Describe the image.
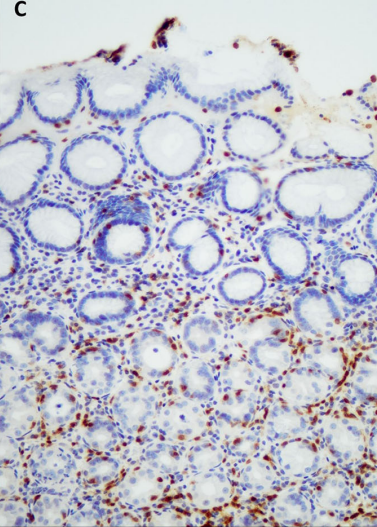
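This is gastric body mucosa with a surface of mucus-secreting foveolar epithelium and, below it, closely packed oxyntic glands, among which brown-stained lymphocytes are scattered. The upper part shows round pits and glands lined by pale columnar mucous cells with blue basal nuclei. The deeper half is filled with small round gland profiles cut across, separated by thin strands of lamina propria. Small cells with dark brown round nuclei and scant cytoplasm lie mostly around and within these deep glands, forming a denser band toward the bottom. A few brown cells also sit at the very surface.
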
